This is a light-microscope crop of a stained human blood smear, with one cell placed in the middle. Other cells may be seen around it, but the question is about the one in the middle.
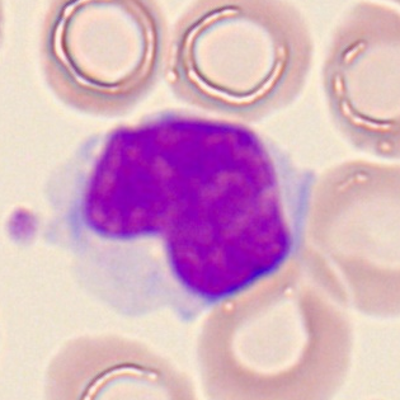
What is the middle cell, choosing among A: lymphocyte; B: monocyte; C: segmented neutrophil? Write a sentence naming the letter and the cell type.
Of the options given, A is correct, the central cell being a lymphocyte.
